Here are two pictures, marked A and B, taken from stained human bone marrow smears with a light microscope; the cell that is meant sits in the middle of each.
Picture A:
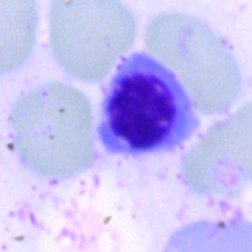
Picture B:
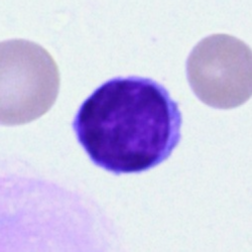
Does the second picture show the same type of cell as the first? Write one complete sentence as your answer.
No, the types are not the same, since picture A shows an erythroblast and picture B a lymphocyte.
